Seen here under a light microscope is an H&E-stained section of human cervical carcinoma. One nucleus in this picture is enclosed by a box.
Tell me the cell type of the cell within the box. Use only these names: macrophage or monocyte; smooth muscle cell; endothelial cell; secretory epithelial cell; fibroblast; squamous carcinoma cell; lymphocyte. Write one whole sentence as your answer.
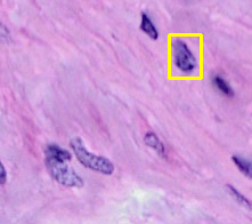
What the cell within the box represents is a fibroblast.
